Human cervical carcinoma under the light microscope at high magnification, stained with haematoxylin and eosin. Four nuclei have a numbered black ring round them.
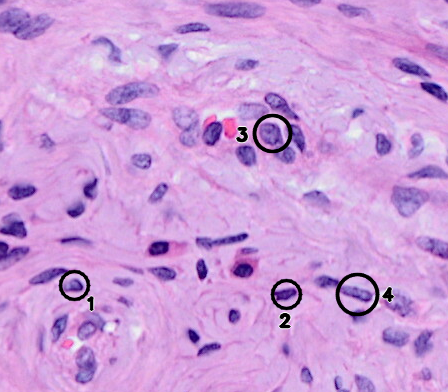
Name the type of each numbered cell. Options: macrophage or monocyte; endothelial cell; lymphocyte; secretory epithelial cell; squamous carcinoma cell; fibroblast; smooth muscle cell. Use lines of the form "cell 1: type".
cell 1: fibroblast
cell 2: fibroblast
cell 3: endothelial cell
cell 4: fibroblast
